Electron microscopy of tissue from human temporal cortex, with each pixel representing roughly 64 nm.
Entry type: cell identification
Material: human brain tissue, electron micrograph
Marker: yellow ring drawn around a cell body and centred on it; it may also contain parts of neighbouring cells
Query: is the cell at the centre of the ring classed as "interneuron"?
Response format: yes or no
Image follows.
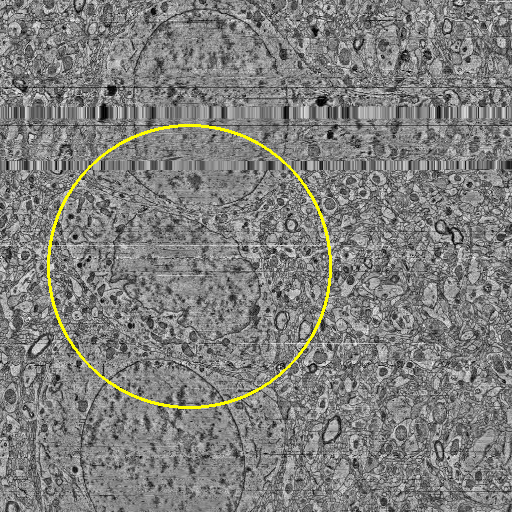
yes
